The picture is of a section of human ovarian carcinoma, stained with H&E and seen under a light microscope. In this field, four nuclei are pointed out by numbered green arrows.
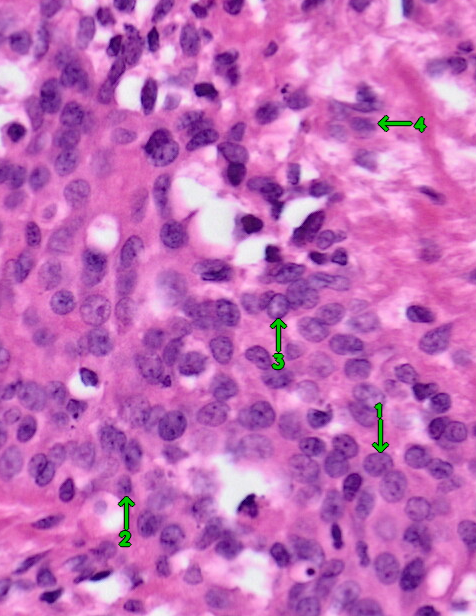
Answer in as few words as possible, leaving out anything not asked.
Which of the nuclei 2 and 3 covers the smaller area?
2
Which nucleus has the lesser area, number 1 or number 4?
4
